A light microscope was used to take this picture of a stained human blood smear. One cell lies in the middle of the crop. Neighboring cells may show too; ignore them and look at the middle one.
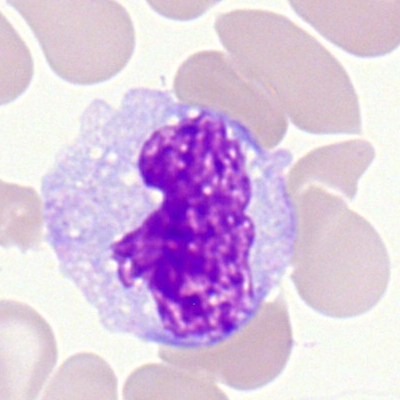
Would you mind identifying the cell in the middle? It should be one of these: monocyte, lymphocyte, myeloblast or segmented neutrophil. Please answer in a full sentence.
The cell nearest the centre of this crop is a monocyte.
